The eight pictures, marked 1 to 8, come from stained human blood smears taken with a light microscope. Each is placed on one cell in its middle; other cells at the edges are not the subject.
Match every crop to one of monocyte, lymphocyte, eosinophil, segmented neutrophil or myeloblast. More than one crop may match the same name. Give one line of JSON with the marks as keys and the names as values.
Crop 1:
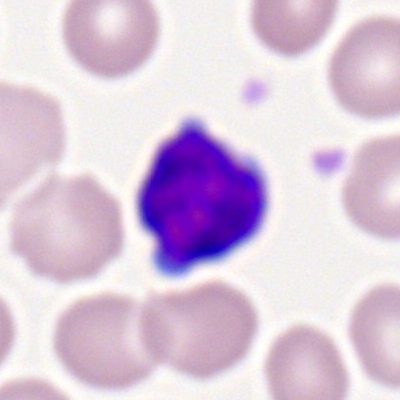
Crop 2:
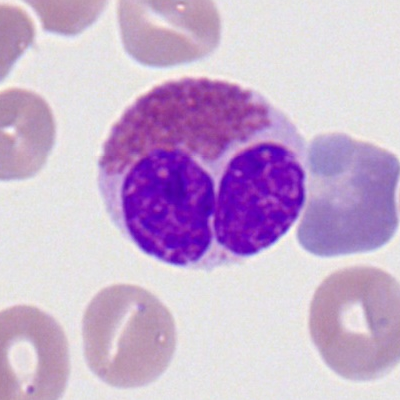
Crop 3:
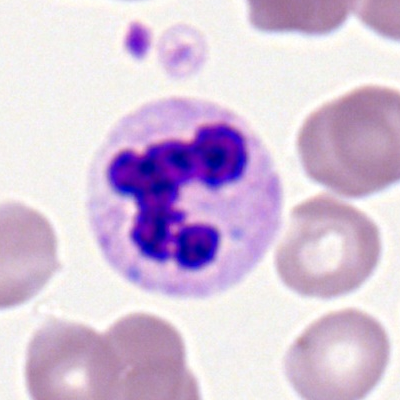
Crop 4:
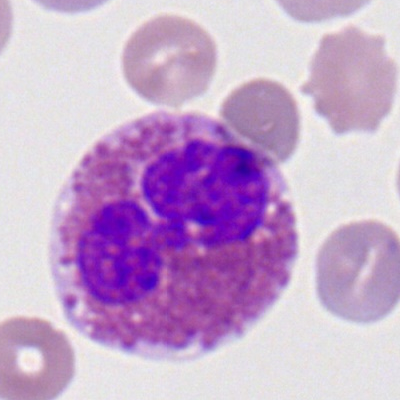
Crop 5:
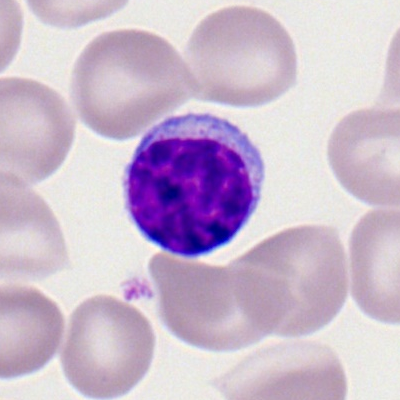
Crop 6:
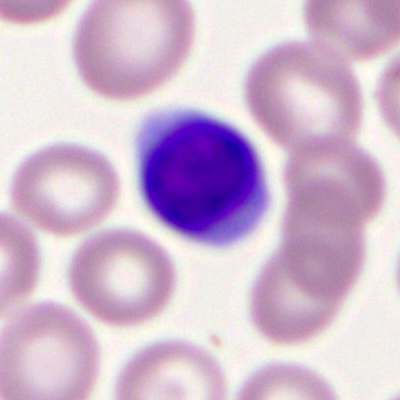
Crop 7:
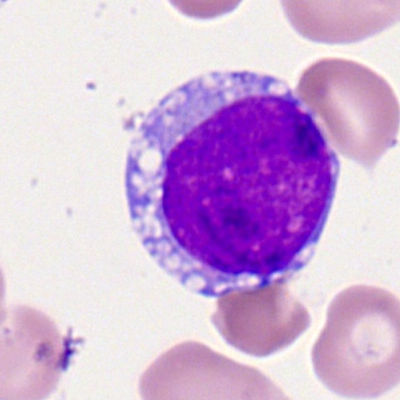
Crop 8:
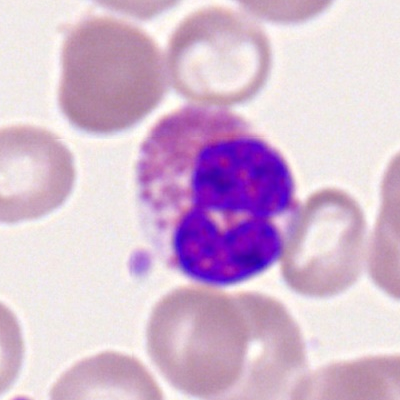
{"1": "lymphocyte", "2": "eosinophil", "3": "segmented neutrophil", "4": "eosinophil", "5": "lymphocyte", "6": "lymphocyte", "7": "myeloblast", "8": "eosinophil"}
